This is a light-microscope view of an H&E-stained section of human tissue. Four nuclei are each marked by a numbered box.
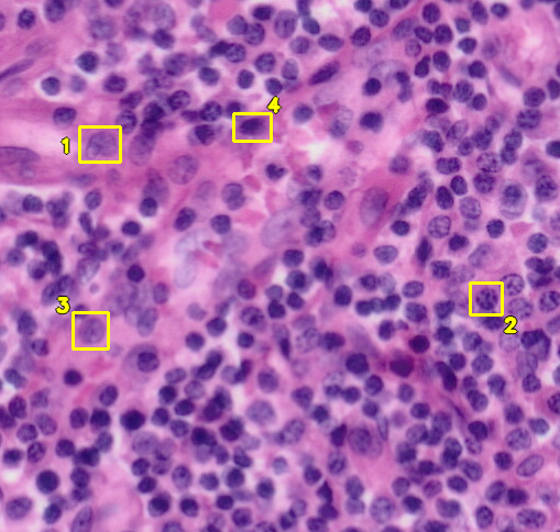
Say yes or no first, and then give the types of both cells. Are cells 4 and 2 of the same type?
No, cell 4 is an endothelial cell and cell 2 is a plasma cell.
